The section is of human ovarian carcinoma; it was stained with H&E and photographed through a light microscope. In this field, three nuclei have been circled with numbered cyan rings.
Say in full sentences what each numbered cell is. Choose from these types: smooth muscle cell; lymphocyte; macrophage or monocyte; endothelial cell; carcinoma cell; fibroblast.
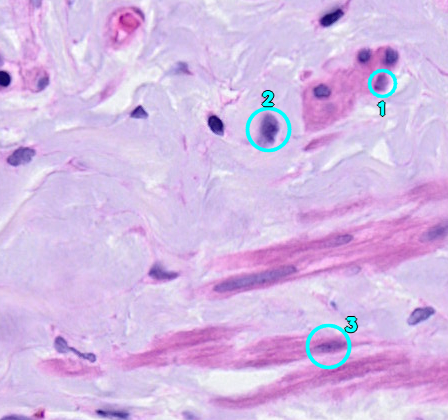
Cell 1 is a smooth muscle cell, cell 2 is a fibroblast and cell 3 is a smooth muscle cell.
